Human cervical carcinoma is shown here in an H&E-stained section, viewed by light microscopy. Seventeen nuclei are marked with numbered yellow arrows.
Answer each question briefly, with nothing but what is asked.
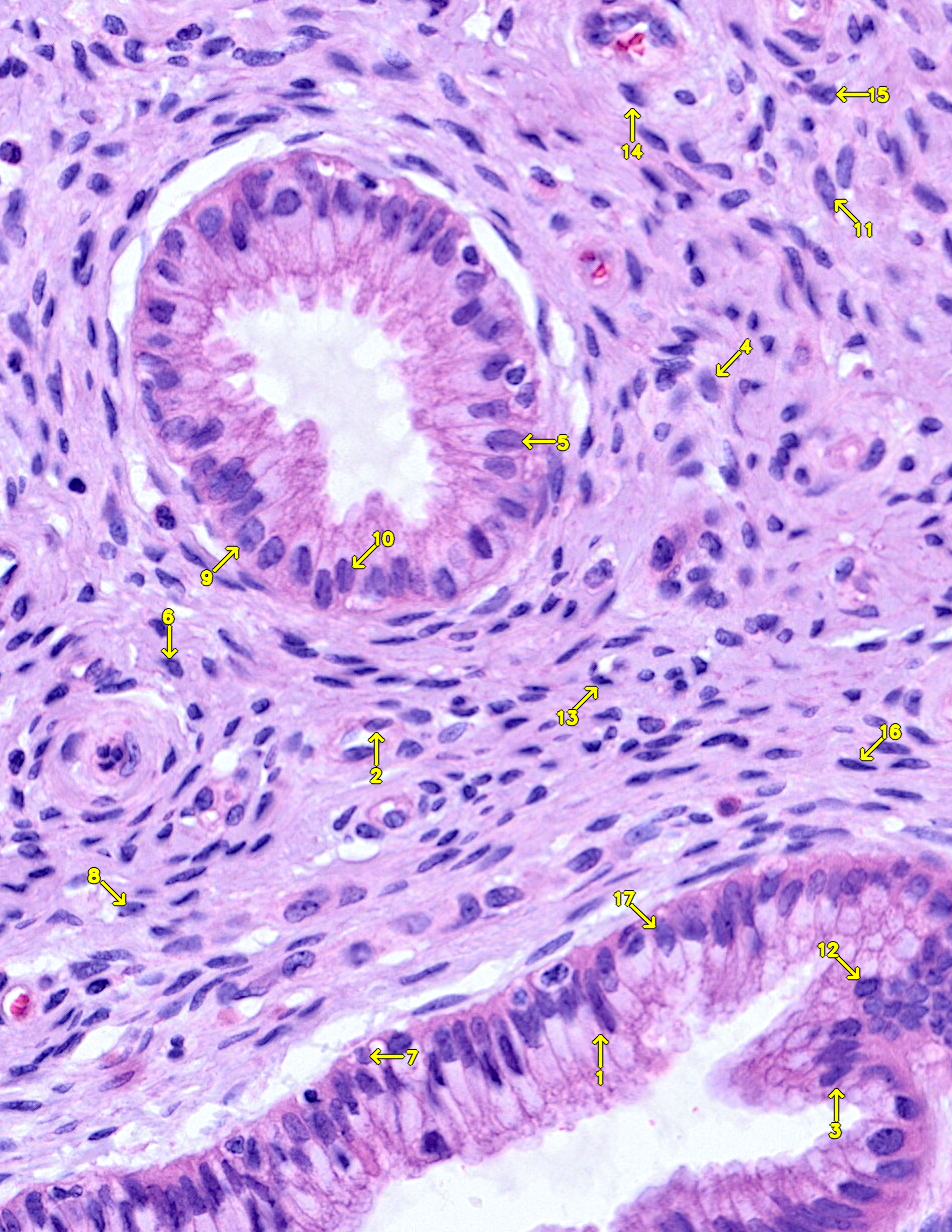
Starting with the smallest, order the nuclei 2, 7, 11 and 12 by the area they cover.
7, 2, 12, 11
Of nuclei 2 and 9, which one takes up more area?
9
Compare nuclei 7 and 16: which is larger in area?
16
